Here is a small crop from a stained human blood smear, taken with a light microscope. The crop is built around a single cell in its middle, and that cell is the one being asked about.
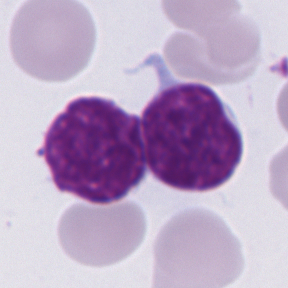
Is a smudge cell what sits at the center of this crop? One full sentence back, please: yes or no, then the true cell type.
No, the cell at the centre is categorised not as a smudge cell but as a myeloblast.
